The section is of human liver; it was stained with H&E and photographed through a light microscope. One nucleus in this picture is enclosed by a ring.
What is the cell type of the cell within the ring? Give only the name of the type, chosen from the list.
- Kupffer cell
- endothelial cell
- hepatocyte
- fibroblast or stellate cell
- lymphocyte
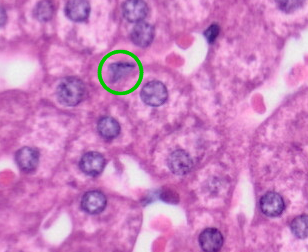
endothelial cell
